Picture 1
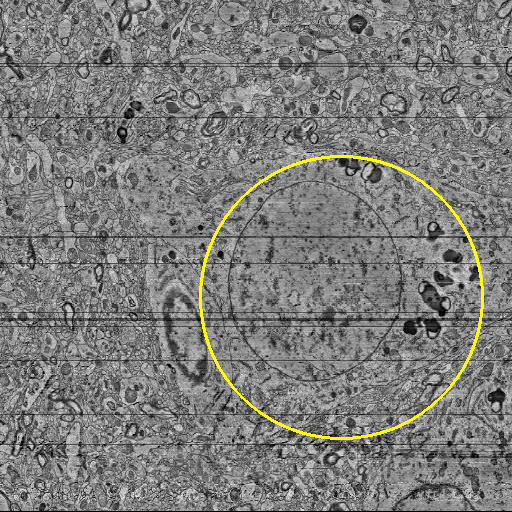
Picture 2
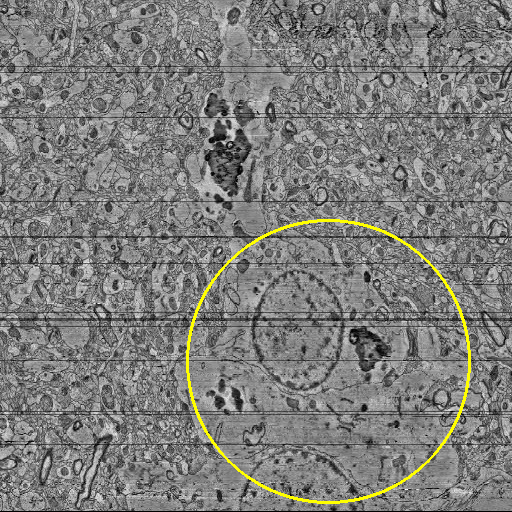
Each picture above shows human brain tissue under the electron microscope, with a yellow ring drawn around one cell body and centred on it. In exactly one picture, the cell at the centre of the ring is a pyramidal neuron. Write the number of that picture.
1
